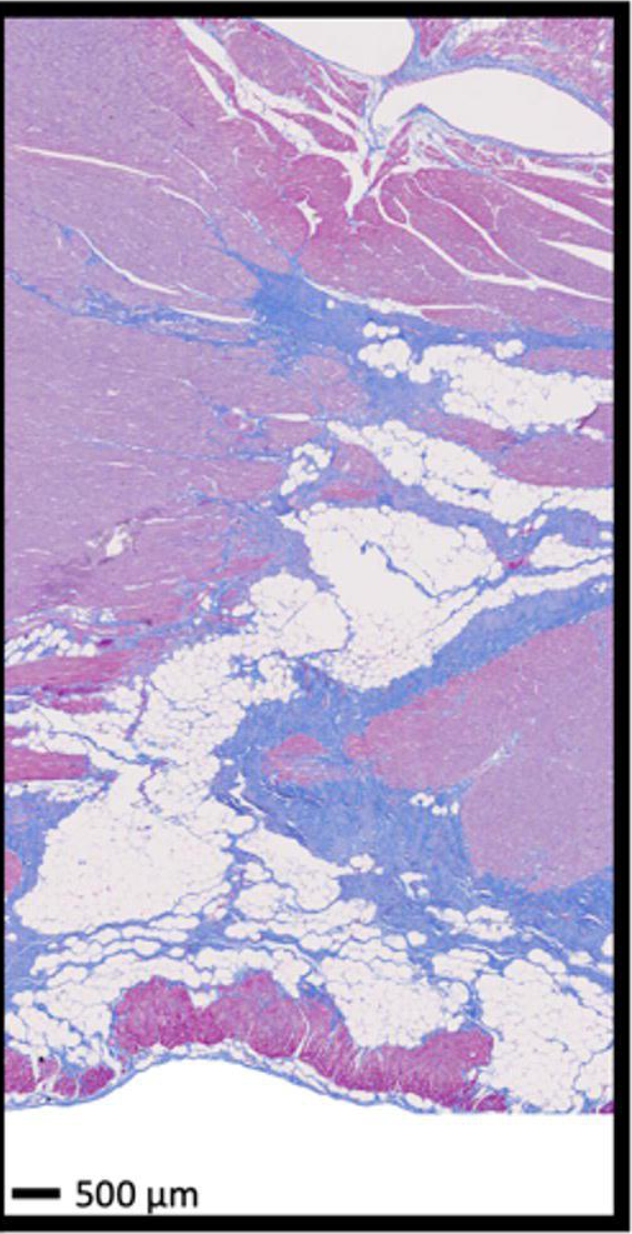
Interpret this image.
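Pink to magenta muscle bundles occupy the upper part and a band along the lower surface, while the middle is broken up by large clusters of round, empty, unstained cells with thin walls, giving a vacuolated honeycomb look. Blue-staining collagen strands run between and around these fat cell clusters and wrap the remaining muscle islands. Near the top, the muscle bundles are separated by clefts and thin blue septa. The outer surface is lined by a thin blue layer beneath a row of deeply magenta muscle.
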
